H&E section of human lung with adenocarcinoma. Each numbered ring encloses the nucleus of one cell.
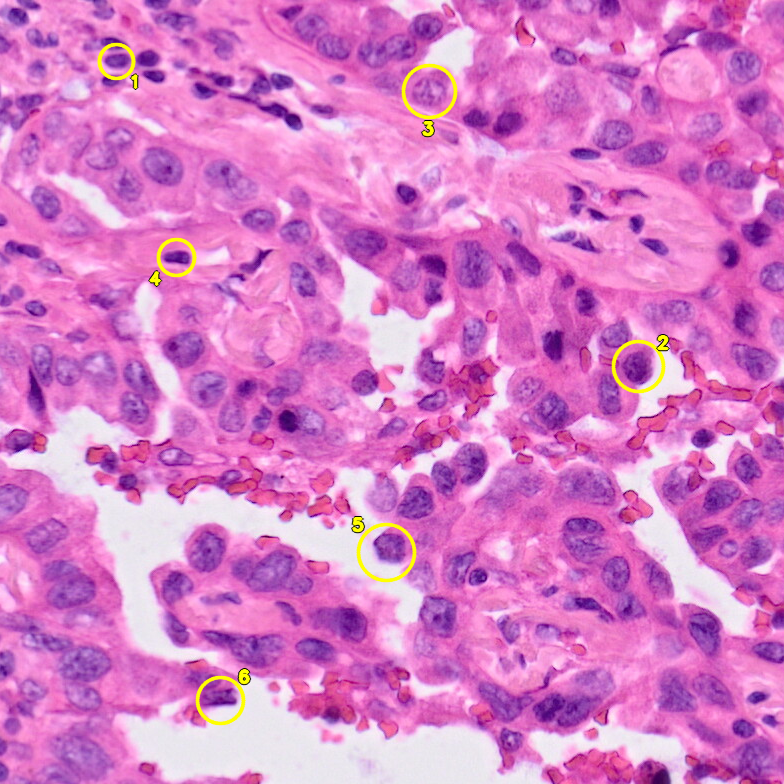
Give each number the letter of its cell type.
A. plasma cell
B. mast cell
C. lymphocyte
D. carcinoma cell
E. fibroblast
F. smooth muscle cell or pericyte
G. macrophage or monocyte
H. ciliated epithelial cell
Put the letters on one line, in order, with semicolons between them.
C; D; D; C; D; D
